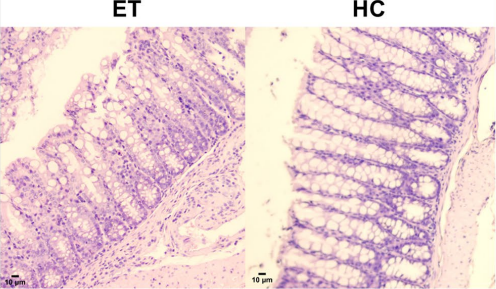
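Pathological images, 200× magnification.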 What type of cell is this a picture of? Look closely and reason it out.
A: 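Goblet cell. In the right image the crypts are filled with rounded, pale, clear-looking cells. These pale cells line the crypts with purple nuclei pressed at their bases. In the left image such pale cells are fewer and the crypt epithelium looks more purple.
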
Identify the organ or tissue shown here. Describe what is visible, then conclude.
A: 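Straight, parallel tubular crypts reach down to the muscularis mucosae. There are no villi; the surface is flat. The crypts are lined by many pale, vacuolated mucus-filled cells.
Conclusion: colon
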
